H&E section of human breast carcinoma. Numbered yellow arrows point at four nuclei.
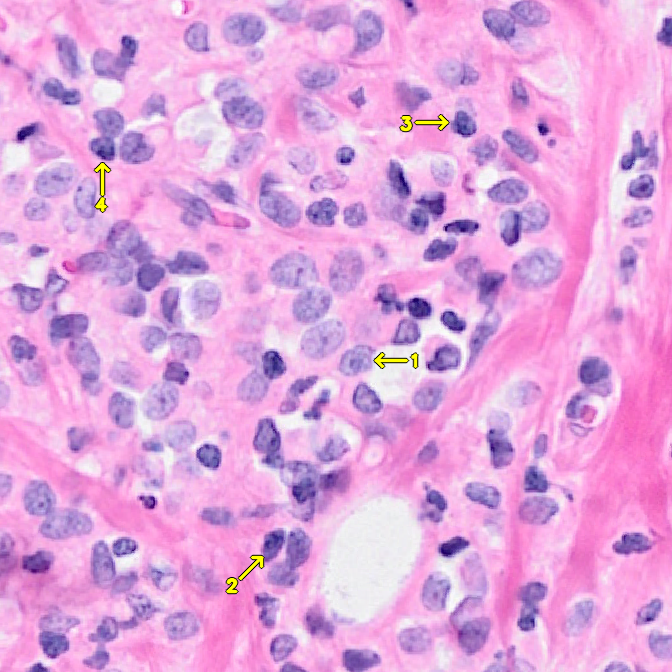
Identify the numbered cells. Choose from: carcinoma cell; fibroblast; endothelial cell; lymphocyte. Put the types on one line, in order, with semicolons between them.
carcinoma cell; lymphocyte; lymphocyte; lymphocyte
